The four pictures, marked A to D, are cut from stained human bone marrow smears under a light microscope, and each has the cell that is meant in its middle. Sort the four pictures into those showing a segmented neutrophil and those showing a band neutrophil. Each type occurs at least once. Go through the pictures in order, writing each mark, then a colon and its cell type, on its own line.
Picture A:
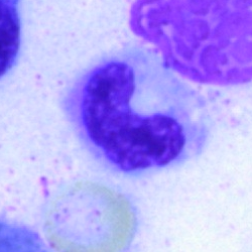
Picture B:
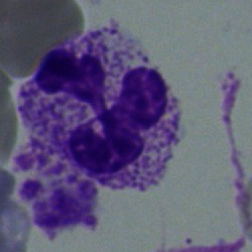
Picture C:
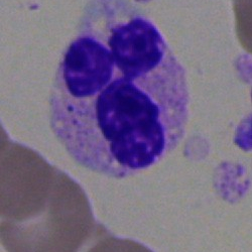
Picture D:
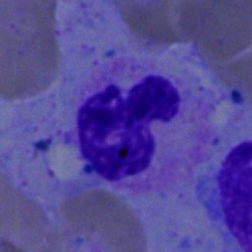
A: band neutrophil
B: segmented neutrophil
C: segmented neutrophil
D: segmented neutrophil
